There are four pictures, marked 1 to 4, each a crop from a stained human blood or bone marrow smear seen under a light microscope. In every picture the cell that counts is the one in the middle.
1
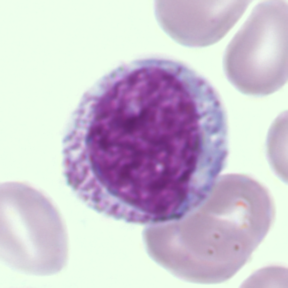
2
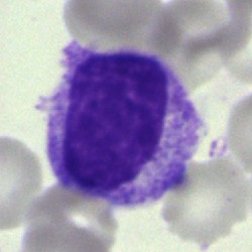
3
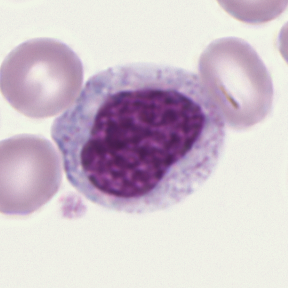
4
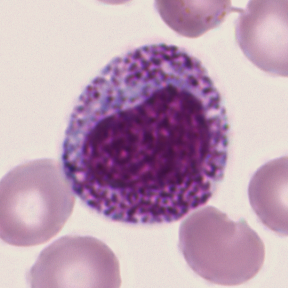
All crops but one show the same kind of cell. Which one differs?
3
